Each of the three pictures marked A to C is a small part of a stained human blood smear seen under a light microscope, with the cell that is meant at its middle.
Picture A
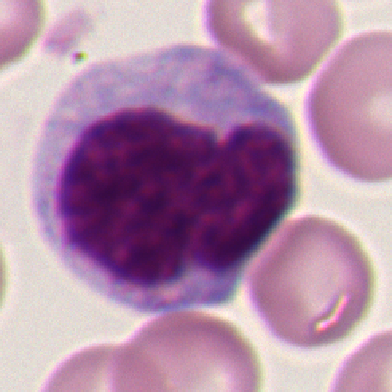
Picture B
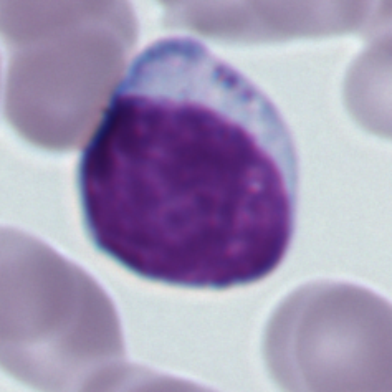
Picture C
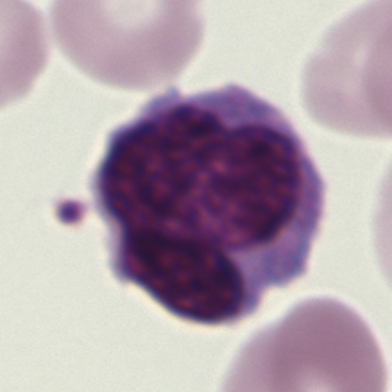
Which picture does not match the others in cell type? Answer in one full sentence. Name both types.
The different one is picture B; it shows a large granular lymphocyte, whereas all the others show monocytes.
